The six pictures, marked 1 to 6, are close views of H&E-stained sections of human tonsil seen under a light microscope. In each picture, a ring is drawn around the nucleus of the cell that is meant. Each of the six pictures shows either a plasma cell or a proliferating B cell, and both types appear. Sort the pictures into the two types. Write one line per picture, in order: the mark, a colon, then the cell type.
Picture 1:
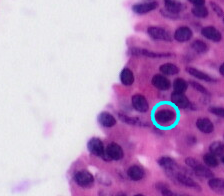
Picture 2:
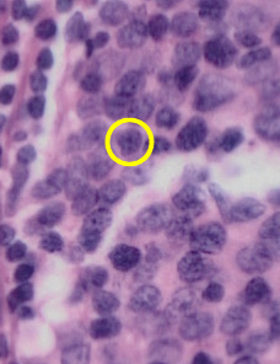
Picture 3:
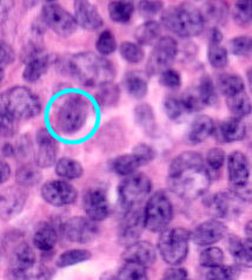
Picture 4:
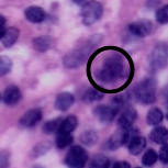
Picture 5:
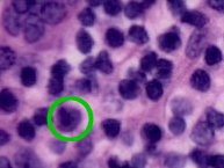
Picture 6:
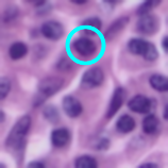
1: plasma cell
2: proliferating B cell
3: proliferating B cell
4: proliferating B cell
5: proliferating B cell
6: plasma cell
